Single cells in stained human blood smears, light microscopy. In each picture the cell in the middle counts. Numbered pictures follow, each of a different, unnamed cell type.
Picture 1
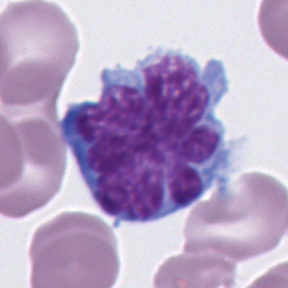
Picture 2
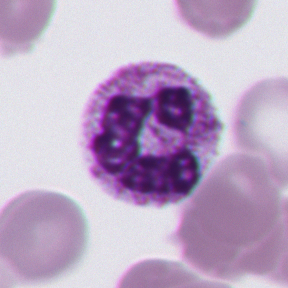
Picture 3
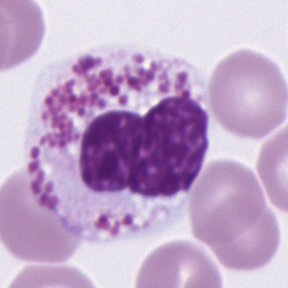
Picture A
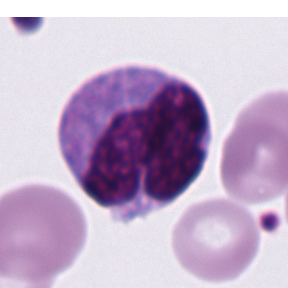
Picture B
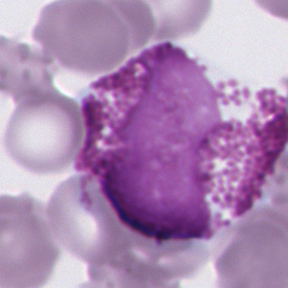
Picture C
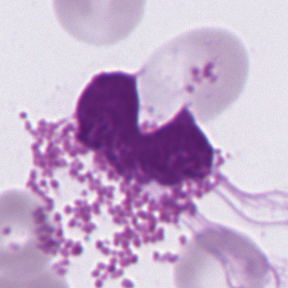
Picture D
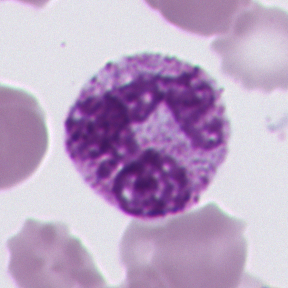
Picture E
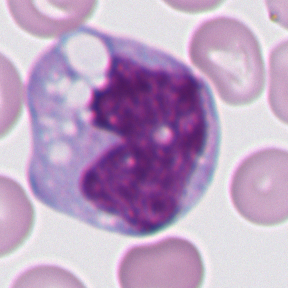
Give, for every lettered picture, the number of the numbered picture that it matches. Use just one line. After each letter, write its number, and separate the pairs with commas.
A 1, B 3, C 3, D 2, E 1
